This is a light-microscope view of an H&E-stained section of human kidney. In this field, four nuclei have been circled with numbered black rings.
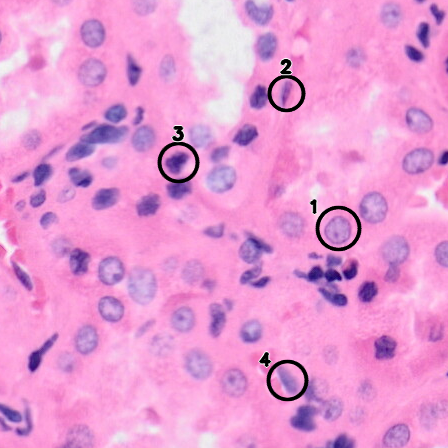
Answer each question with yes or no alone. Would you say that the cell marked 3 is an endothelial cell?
no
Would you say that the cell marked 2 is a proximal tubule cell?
no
